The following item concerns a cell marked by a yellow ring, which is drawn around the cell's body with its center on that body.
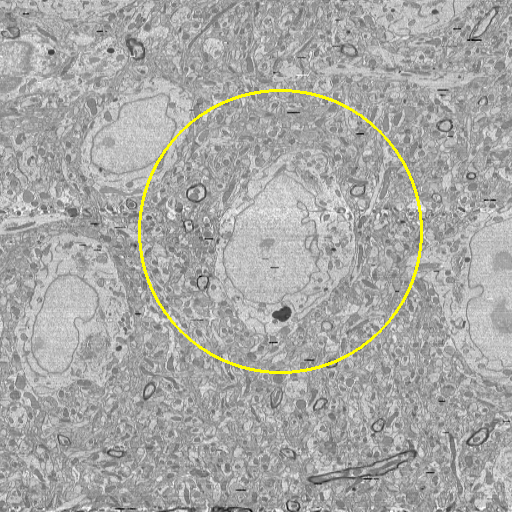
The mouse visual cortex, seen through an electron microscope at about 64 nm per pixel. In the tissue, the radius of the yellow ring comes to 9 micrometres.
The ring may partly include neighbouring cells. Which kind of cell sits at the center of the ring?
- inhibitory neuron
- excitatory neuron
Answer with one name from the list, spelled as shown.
inhibitory neuron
